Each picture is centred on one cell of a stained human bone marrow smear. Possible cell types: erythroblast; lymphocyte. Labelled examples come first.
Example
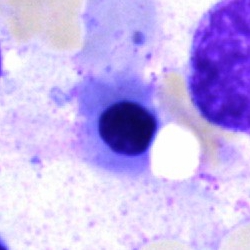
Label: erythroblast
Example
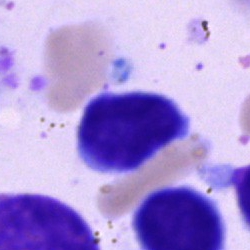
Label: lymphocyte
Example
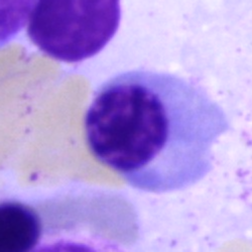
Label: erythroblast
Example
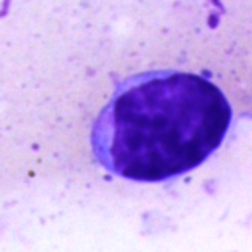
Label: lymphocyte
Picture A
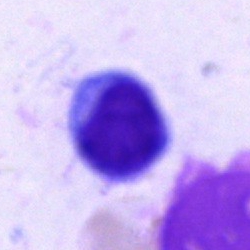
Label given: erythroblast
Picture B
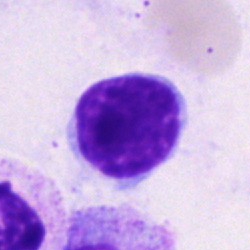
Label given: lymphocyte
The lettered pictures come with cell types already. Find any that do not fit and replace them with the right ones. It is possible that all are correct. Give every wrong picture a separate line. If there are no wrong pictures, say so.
A: not erythroblast but lymphocyte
